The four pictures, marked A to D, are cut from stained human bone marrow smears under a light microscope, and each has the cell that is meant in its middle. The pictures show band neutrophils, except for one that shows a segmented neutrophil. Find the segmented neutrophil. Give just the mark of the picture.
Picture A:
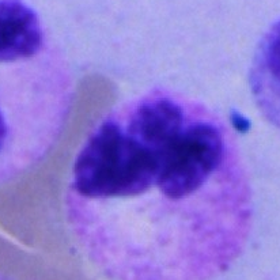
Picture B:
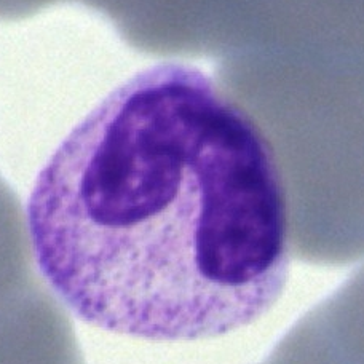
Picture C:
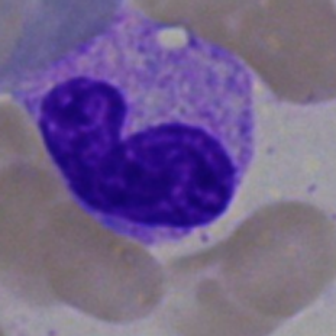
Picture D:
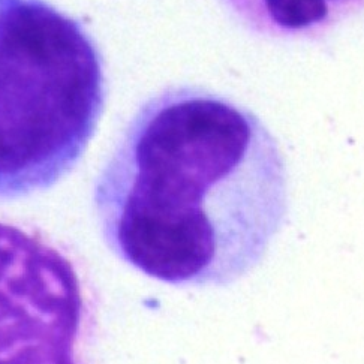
A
